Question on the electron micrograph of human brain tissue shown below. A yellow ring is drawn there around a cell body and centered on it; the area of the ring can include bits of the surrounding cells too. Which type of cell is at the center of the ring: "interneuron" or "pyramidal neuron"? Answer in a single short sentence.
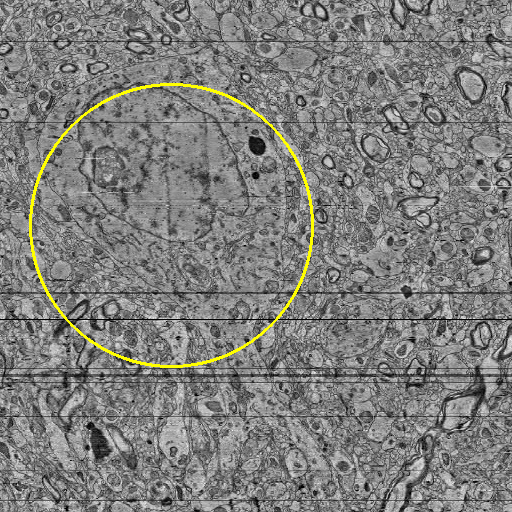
The ring is centered on a pyramidal neuron.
